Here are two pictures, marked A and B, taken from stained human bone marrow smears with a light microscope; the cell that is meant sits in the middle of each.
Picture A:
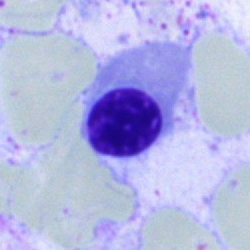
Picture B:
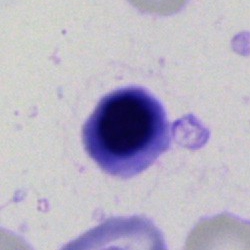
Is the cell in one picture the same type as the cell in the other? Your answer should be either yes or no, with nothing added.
yes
